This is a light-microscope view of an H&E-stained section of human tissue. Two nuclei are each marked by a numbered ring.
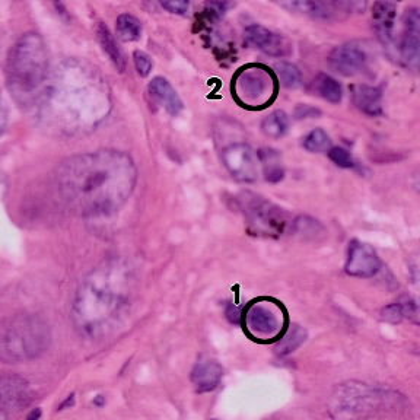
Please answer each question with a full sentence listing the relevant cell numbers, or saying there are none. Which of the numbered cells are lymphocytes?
Cell 1 is a lymphocyte, and it is the only numbered cell that is.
